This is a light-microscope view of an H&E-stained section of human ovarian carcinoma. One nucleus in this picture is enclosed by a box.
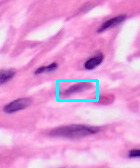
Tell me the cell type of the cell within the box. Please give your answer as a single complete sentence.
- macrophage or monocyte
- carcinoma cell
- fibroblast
The identity of the cell within the box: it is a fibroblast.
